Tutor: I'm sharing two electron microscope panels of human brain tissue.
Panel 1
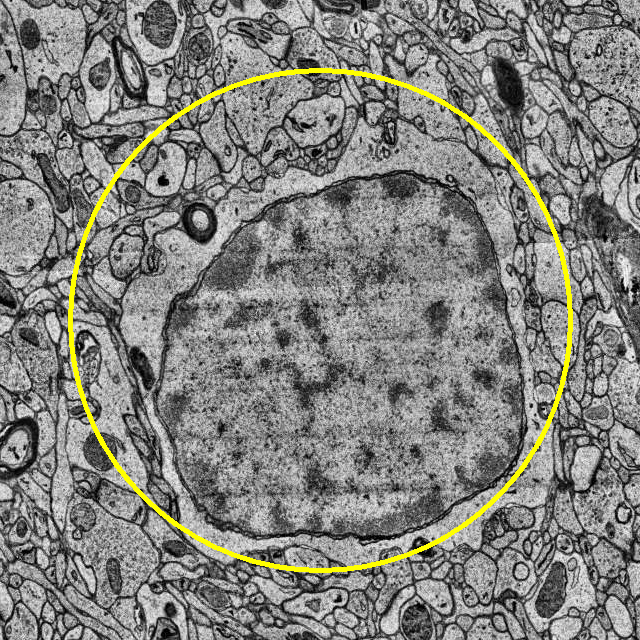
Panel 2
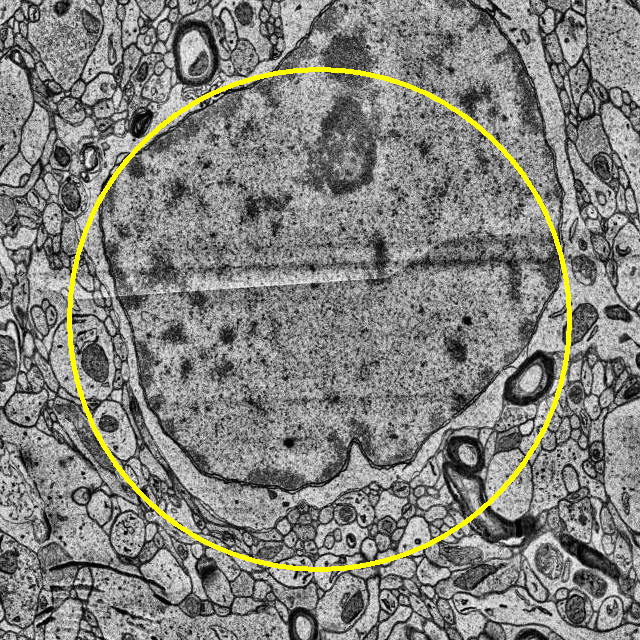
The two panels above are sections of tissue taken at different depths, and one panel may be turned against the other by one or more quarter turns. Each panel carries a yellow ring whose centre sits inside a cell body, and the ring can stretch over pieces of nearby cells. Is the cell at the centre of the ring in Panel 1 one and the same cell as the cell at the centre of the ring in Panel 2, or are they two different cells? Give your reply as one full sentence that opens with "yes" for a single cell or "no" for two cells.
Yes, one and the same cell lies under both rings.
